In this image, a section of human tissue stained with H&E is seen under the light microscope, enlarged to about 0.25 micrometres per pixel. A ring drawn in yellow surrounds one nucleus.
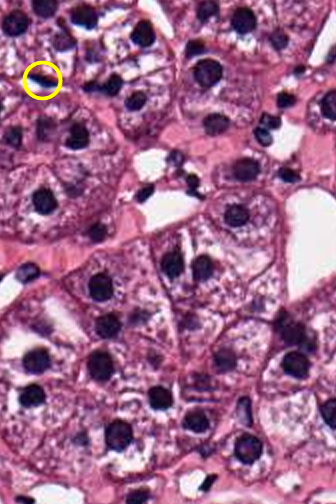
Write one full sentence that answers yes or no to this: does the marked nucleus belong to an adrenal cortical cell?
No, it is a supporting cell whose nucleus is marked, not an adrenal cortical cell.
